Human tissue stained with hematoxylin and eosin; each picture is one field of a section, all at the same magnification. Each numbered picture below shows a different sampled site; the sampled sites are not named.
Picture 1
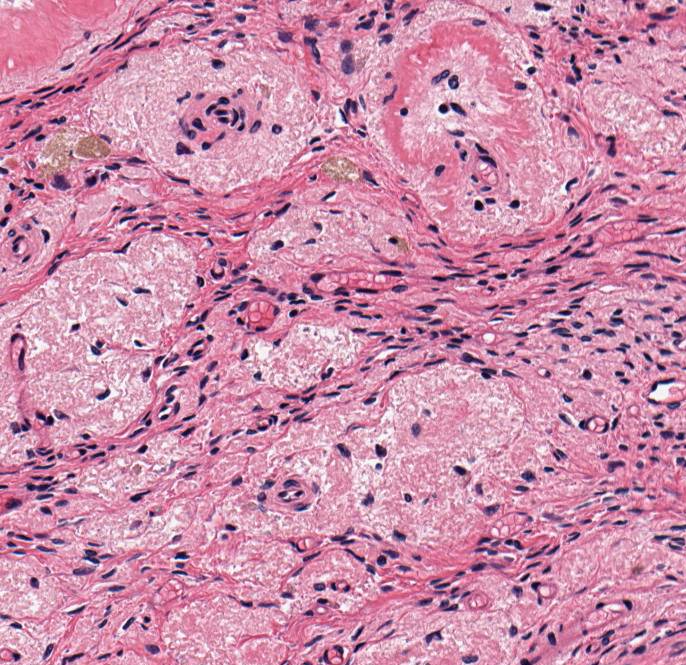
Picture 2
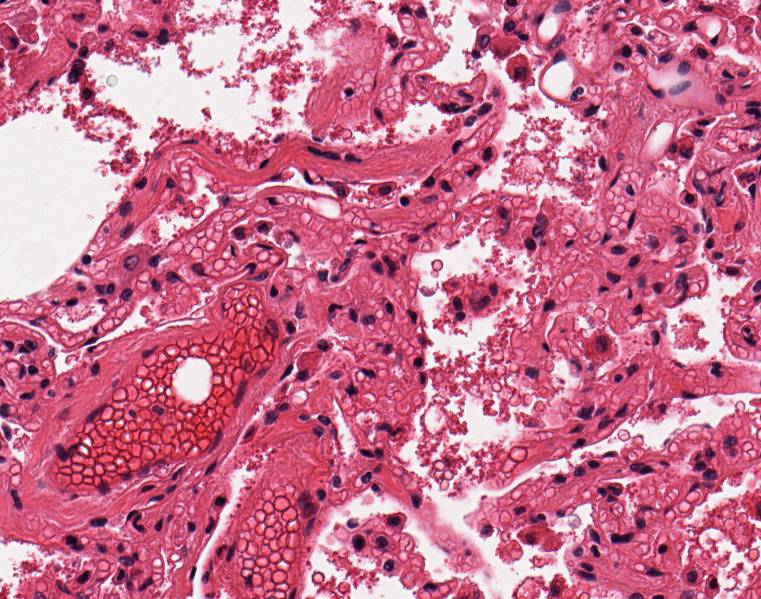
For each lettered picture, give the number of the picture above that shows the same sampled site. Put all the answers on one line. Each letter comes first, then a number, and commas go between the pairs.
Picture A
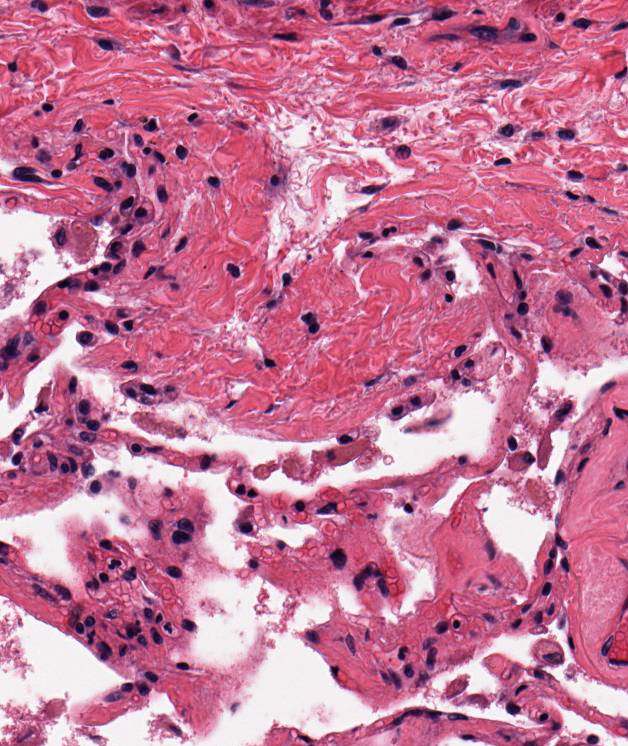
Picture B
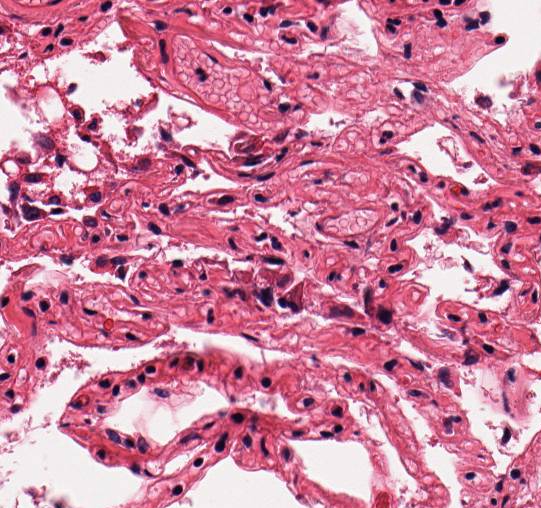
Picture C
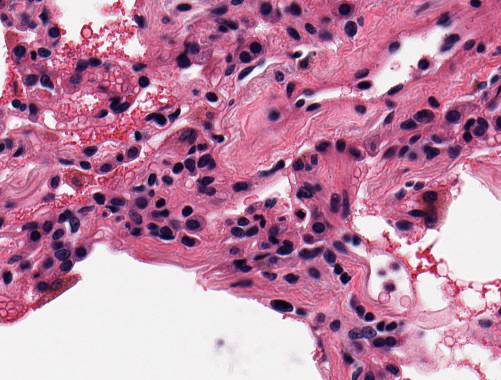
A 2, B 2, C 2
